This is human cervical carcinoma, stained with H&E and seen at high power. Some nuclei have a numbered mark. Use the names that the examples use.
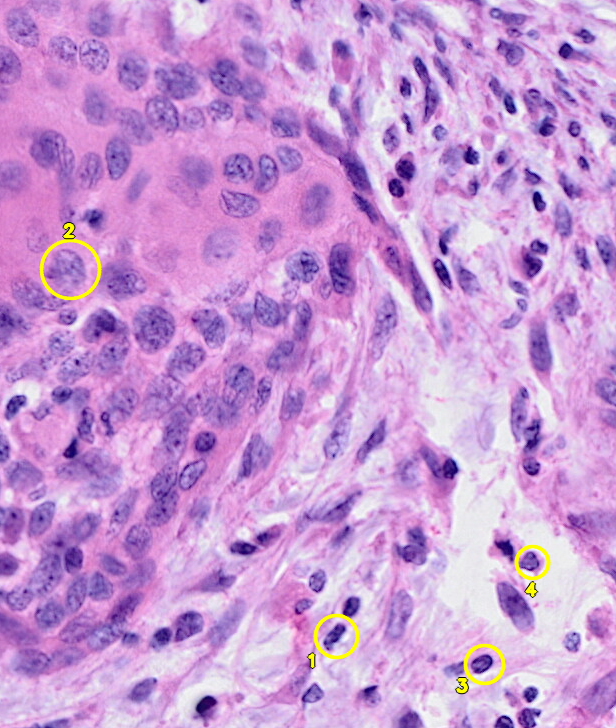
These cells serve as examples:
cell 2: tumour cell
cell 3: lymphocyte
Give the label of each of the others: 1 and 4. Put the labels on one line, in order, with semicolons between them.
lymphocyte; lymphocyte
